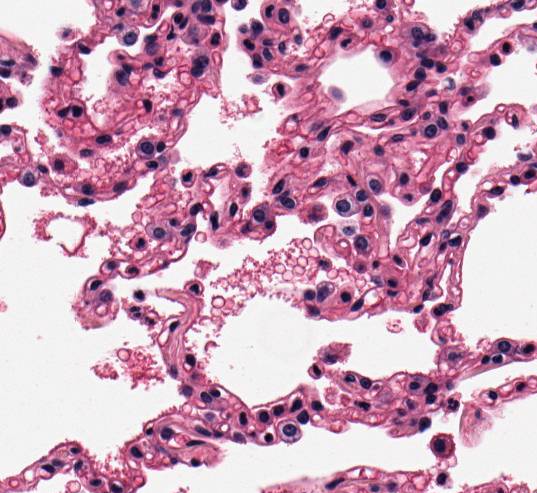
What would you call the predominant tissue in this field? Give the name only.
alveolus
